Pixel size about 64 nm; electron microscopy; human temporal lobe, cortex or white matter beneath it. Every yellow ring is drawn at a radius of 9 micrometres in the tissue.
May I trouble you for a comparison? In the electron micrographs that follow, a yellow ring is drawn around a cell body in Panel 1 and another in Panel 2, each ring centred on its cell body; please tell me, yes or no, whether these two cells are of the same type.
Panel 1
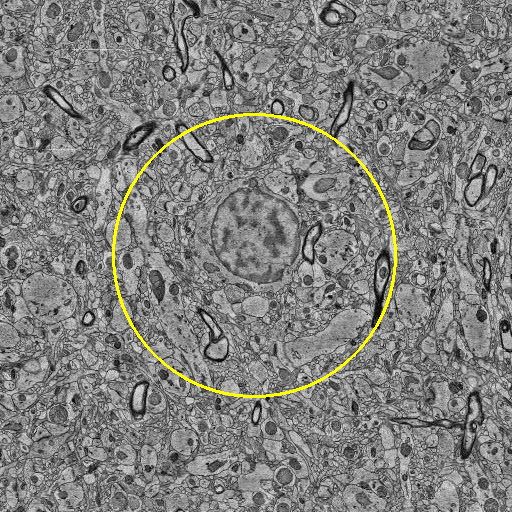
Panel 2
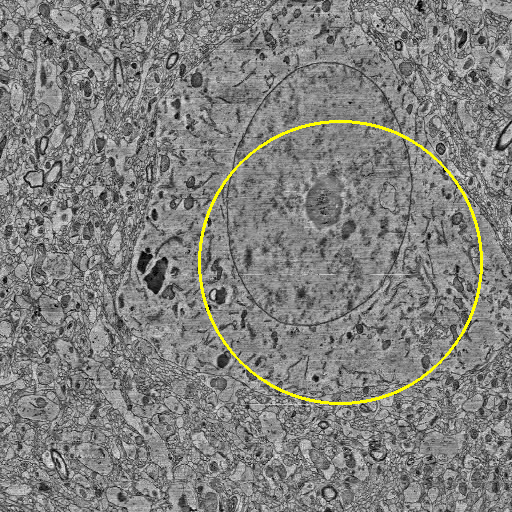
no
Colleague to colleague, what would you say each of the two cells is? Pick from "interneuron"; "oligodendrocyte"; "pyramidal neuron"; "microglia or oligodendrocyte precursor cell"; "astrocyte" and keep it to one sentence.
The cell in the first picture is an oligodendrocyte; the second picture's cell is a pyramidal neuron.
